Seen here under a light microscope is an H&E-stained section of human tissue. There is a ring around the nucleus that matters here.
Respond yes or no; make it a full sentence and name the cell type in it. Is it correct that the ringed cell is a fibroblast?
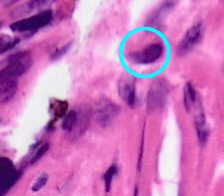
Yes, the ringed cell is a fibroblast in this section.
